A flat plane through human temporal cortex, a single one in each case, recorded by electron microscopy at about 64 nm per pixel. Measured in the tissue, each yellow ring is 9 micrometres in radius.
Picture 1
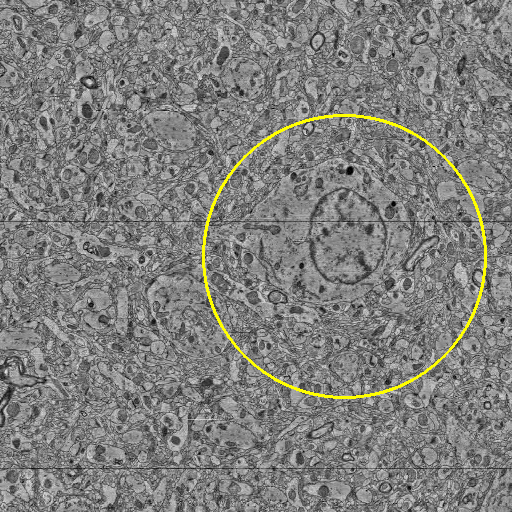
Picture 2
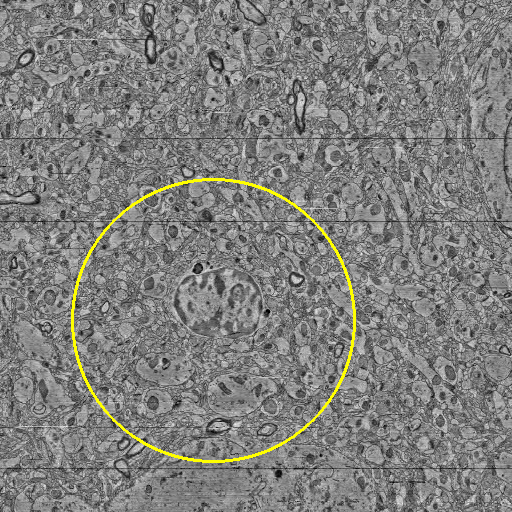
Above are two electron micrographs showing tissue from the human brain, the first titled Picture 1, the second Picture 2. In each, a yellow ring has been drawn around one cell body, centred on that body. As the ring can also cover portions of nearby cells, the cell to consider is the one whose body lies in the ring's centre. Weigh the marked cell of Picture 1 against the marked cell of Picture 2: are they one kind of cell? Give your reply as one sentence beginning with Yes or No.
No, the two cells sitting at the ring centres in the pictures are of two kinds.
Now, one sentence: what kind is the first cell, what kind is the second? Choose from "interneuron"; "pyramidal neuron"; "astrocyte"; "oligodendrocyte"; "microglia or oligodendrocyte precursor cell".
The first picture has a pyramidal neuron at its ring centre, and the second has a microglial cell or oligodendrocyte precursor cell.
